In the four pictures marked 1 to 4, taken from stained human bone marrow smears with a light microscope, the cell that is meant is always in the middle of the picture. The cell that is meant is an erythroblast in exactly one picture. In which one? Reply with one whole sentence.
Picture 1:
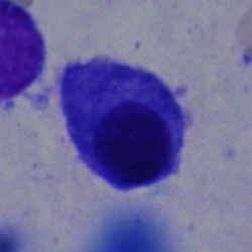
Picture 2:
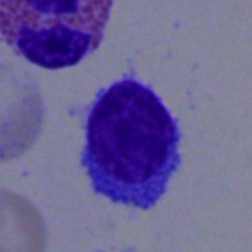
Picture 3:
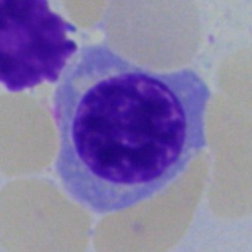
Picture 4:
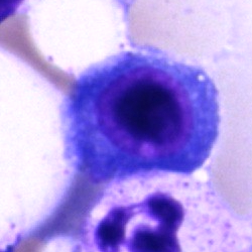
The cell in picture 3 is the erythroblast.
